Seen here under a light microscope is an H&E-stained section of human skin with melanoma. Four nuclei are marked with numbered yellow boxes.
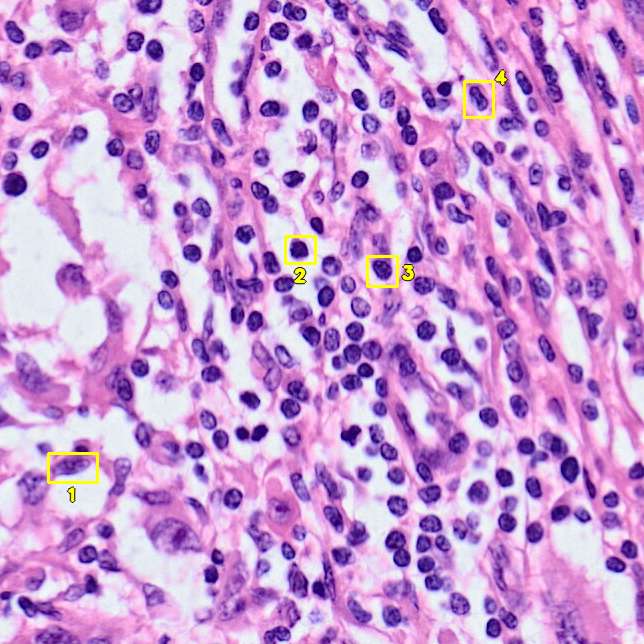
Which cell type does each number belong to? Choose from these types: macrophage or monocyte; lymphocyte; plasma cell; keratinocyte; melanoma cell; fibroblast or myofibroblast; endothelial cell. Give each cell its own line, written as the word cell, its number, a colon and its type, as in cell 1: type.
cell 1: melanoma cell
cell 2: lymphocyte
cell 3: lymphocyte
cell 4: lymphocyte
